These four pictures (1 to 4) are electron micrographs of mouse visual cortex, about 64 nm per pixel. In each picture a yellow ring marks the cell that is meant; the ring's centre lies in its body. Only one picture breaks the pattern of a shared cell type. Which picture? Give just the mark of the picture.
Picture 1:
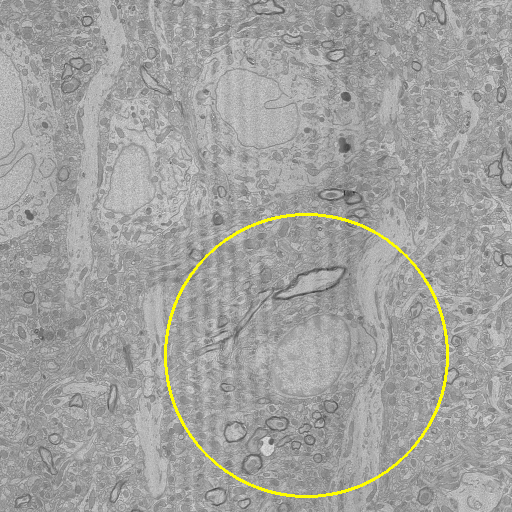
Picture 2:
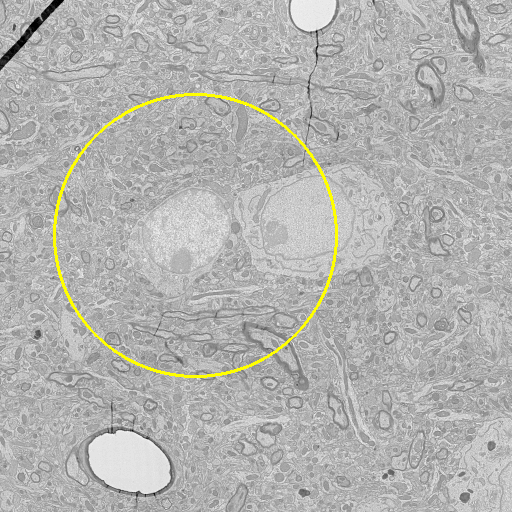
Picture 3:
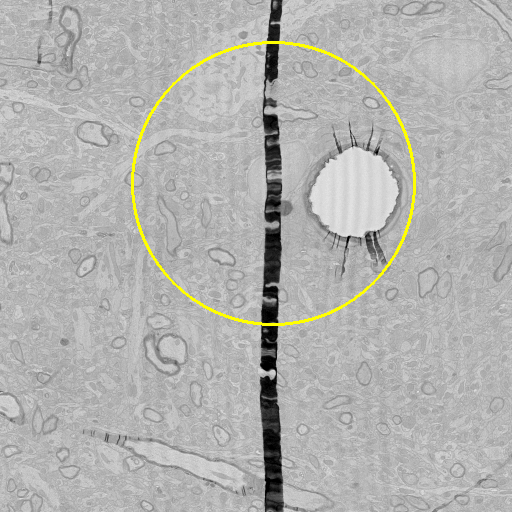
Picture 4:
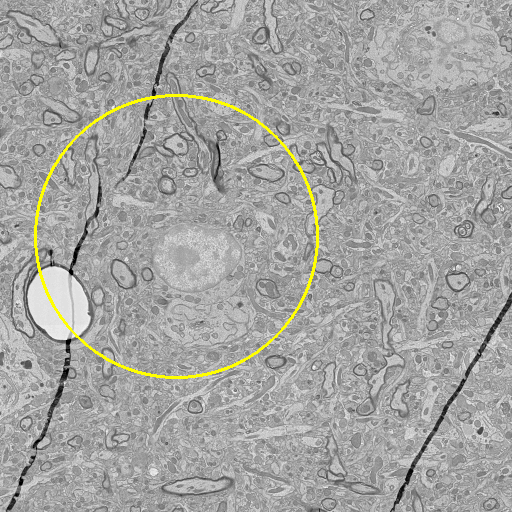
3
